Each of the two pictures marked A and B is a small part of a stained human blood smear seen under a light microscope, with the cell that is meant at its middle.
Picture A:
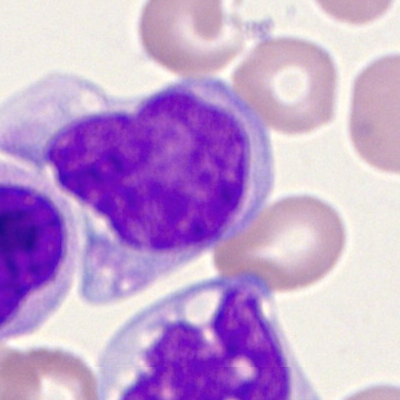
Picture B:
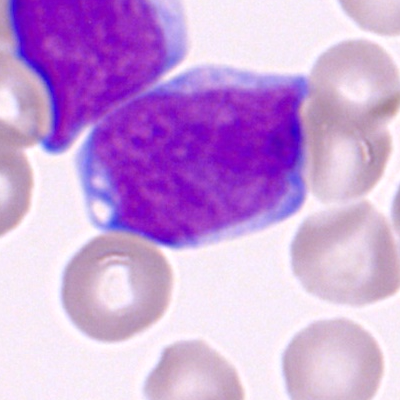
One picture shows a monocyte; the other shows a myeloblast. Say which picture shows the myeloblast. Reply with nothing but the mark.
B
